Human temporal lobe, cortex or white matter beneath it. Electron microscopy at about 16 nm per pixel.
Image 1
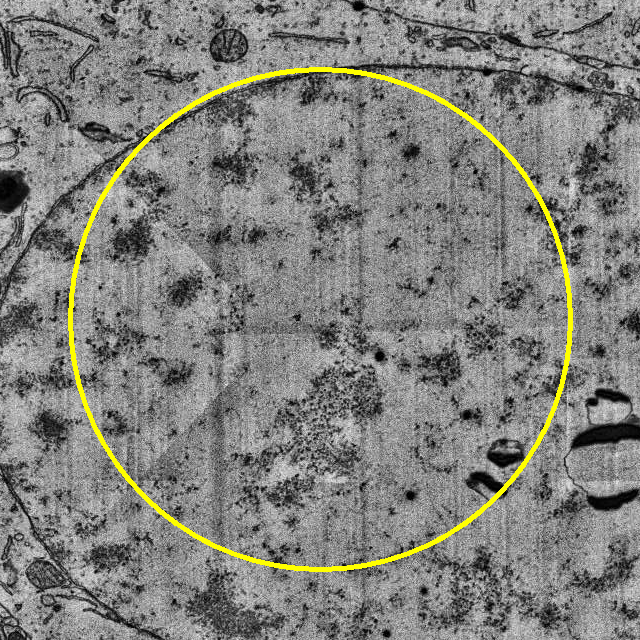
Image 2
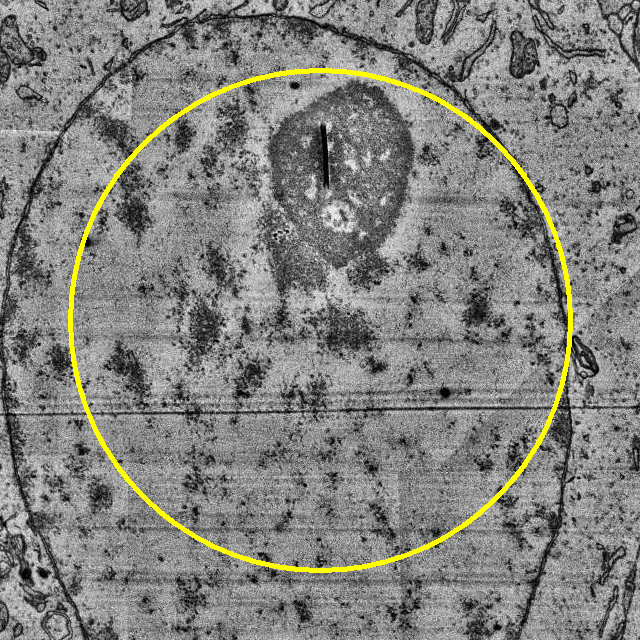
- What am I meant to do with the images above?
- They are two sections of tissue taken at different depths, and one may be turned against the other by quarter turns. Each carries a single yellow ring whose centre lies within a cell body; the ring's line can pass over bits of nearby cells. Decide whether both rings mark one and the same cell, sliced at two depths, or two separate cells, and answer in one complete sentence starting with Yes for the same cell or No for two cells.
Yes, both circles in yellow pick out the same cell.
